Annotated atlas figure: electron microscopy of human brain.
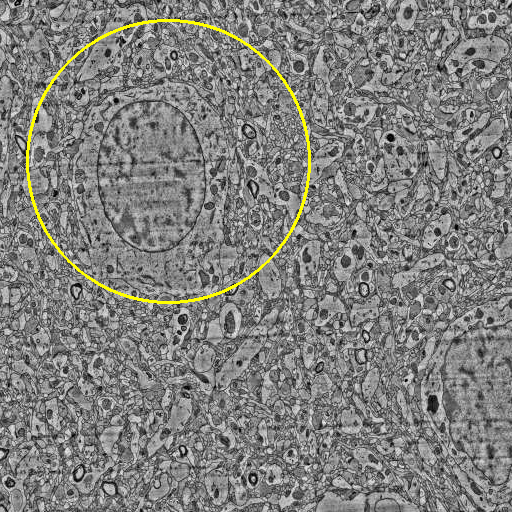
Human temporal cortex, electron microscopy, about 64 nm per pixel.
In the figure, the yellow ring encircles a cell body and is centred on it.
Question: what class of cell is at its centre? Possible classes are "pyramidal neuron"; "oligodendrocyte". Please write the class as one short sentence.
The yellow ring is drawn around a pyramidal neuron.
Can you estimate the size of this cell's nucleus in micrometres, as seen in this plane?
The nucleus measures about 10 by 7 micrometres in this plane.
